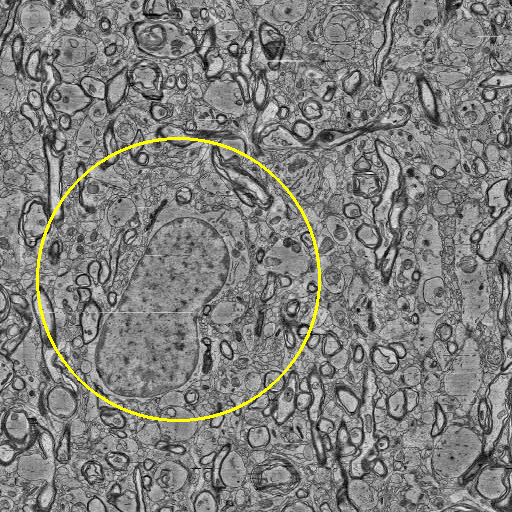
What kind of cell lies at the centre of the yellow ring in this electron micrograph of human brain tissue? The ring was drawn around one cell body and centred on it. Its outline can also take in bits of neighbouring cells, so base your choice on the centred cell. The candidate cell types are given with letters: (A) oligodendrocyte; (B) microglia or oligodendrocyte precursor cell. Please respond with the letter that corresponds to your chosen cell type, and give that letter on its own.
B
